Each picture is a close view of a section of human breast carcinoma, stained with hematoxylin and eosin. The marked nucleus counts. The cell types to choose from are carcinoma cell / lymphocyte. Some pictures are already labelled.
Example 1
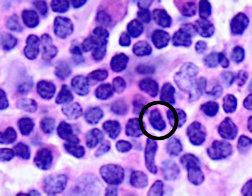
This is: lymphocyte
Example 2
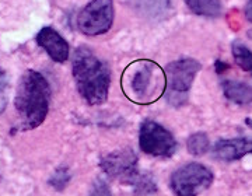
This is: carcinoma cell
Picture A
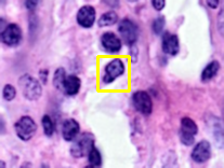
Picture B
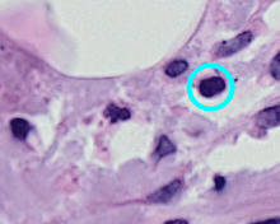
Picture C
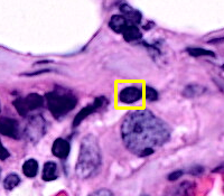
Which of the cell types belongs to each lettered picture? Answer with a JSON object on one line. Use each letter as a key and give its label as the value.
{"A": "lymphocyte", "B": "lymphocyte", "C": "lymphocyte"}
